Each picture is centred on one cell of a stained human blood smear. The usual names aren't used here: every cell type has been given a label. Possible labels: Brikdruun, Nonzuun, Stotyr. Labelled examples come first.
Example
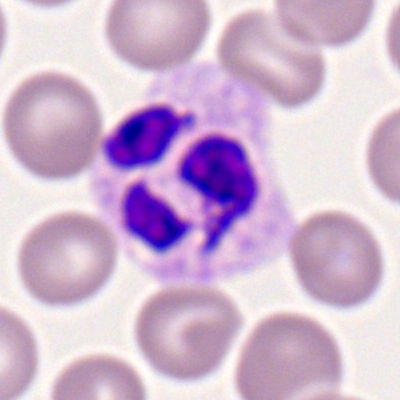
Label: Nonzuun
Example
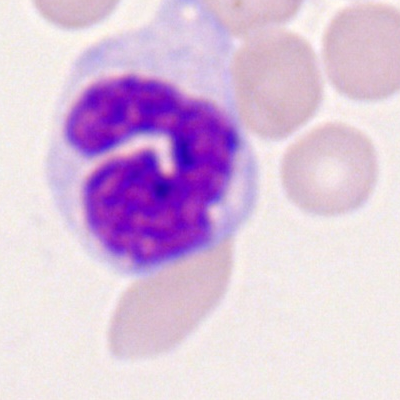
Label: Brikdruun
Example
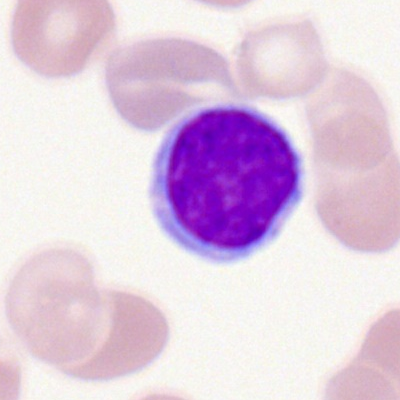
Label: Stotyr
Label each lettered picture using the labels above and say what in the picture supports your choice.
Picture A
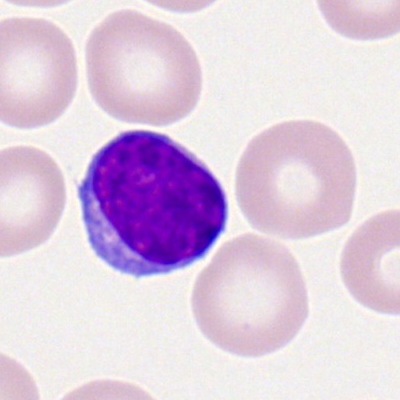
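Stotyr. The nucleus fills most of the cell, leaving little cytoplasm.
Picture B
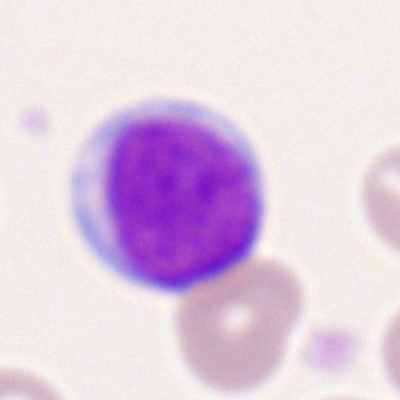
Stotyr. The cytoplasm forms a narrow crescent along the left side of the cell.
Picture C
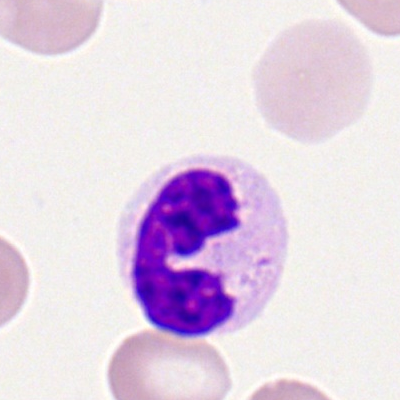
Nonzuun. The nucleus is a single curved band shaped like a thick C, not split into separate lobes.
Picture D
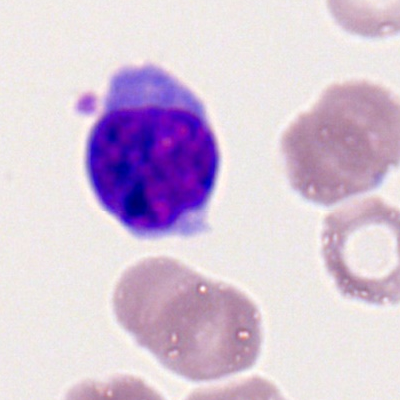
Stotyr. The cytoplasm is scant, and the nucleus fills most of the cell.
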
